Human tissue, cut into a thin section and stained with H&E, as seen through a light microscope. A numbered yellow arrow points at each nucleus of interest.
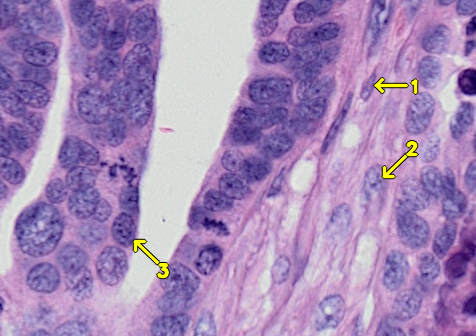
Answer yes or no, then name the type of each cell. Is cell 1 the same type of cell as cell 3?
No, what is marked as cell 1 is a fibroblast, and what is marked as cell 3 is a carcinoma cell.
